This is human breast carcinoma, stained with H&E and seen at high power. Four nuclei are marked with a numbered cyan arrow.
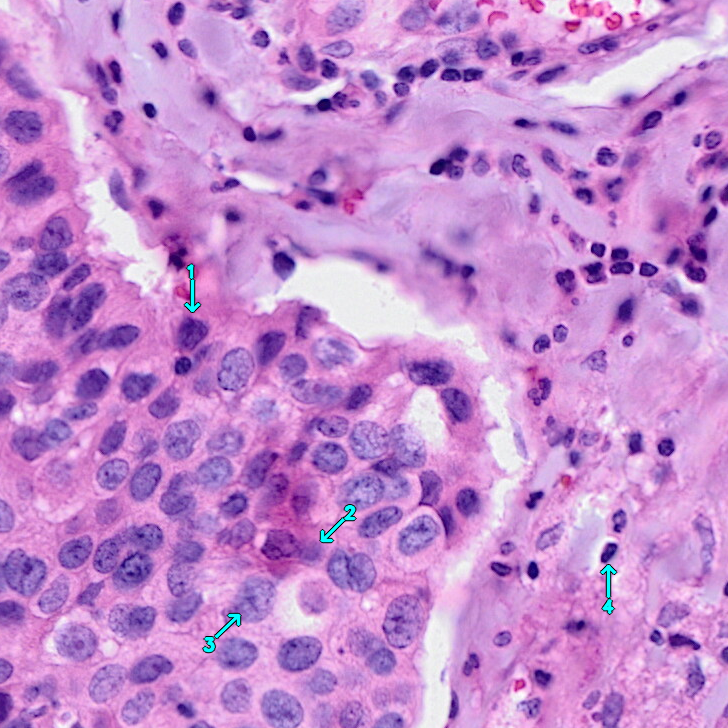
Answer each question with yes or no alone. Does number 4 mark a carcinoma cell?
no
